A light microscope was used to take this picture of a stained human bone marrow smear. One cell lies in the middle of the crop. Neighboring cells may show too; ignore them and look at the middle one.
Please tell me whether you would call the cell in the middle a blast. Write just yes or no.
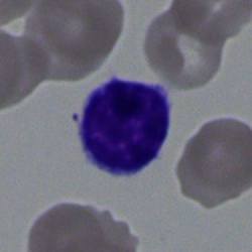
no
